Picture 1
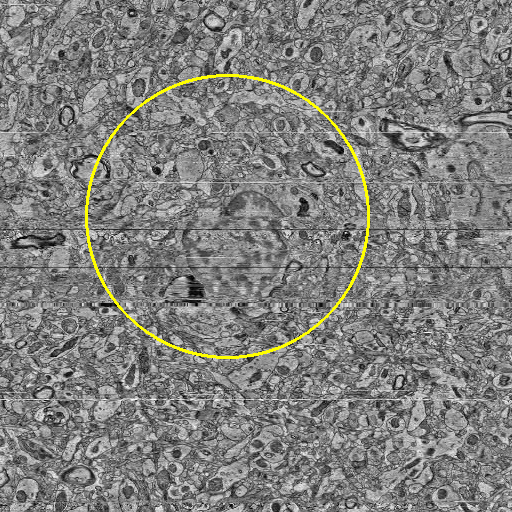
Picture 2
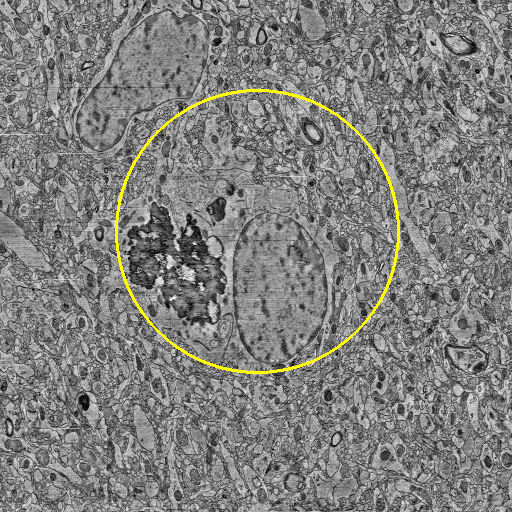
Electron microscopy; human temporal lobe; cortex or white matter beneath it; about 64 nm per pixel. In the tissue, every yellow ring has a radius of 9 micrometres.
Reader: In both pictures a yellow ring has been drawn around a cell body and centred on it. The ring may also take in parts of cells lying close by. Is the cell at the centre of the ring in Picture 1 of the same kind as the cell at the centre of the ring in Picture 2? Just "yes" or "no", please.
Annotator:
no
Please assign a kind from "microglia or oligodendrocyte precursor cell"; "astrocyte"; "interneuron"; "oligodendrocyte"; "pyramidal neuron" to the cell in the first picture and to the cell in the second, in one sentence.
In the first picture we have an oligodendrocyte, and in the second, an astrocyte.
